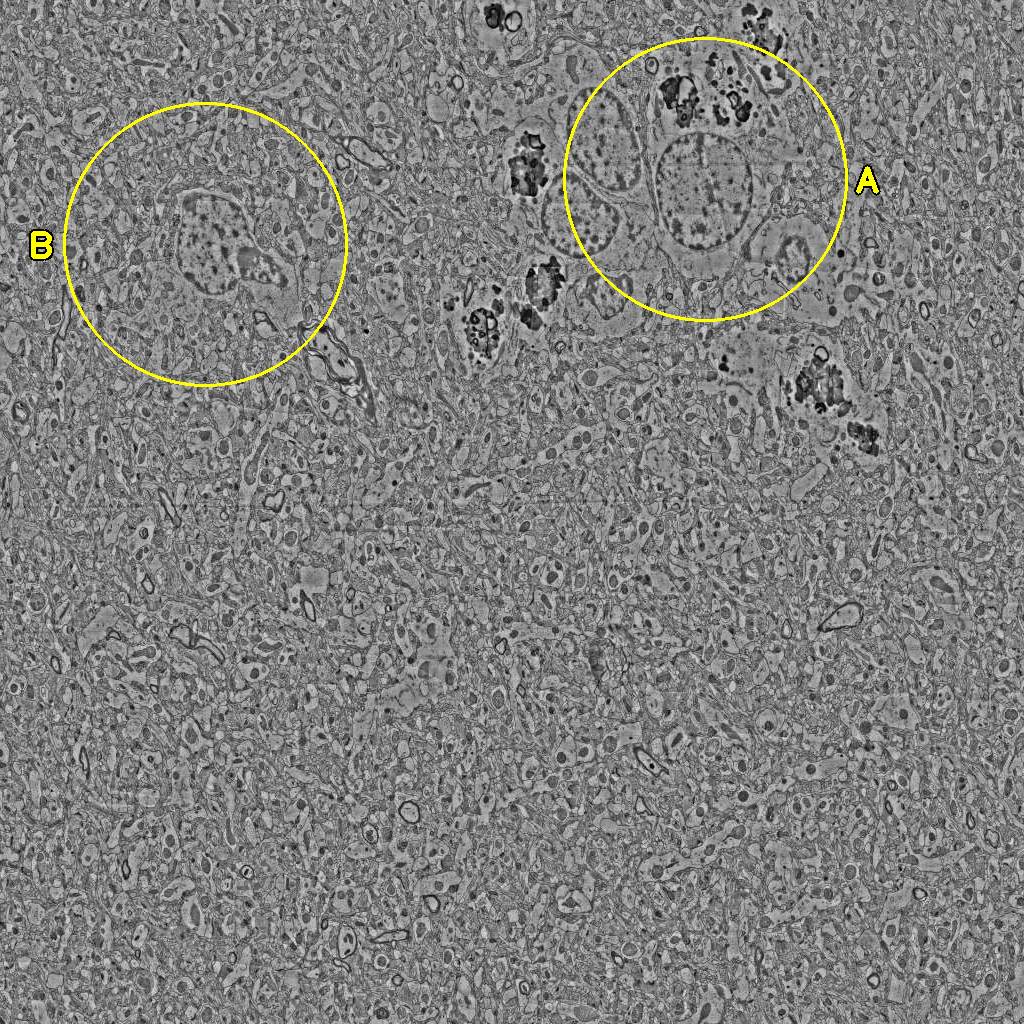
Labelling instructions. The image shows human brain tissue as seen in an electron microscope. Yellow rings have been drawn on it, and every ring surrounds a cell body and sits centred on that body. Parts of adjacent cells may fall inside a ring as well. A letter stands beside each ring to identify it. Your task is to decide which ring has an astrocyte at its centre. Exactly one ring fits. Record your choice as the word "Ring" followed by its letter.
Ring A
